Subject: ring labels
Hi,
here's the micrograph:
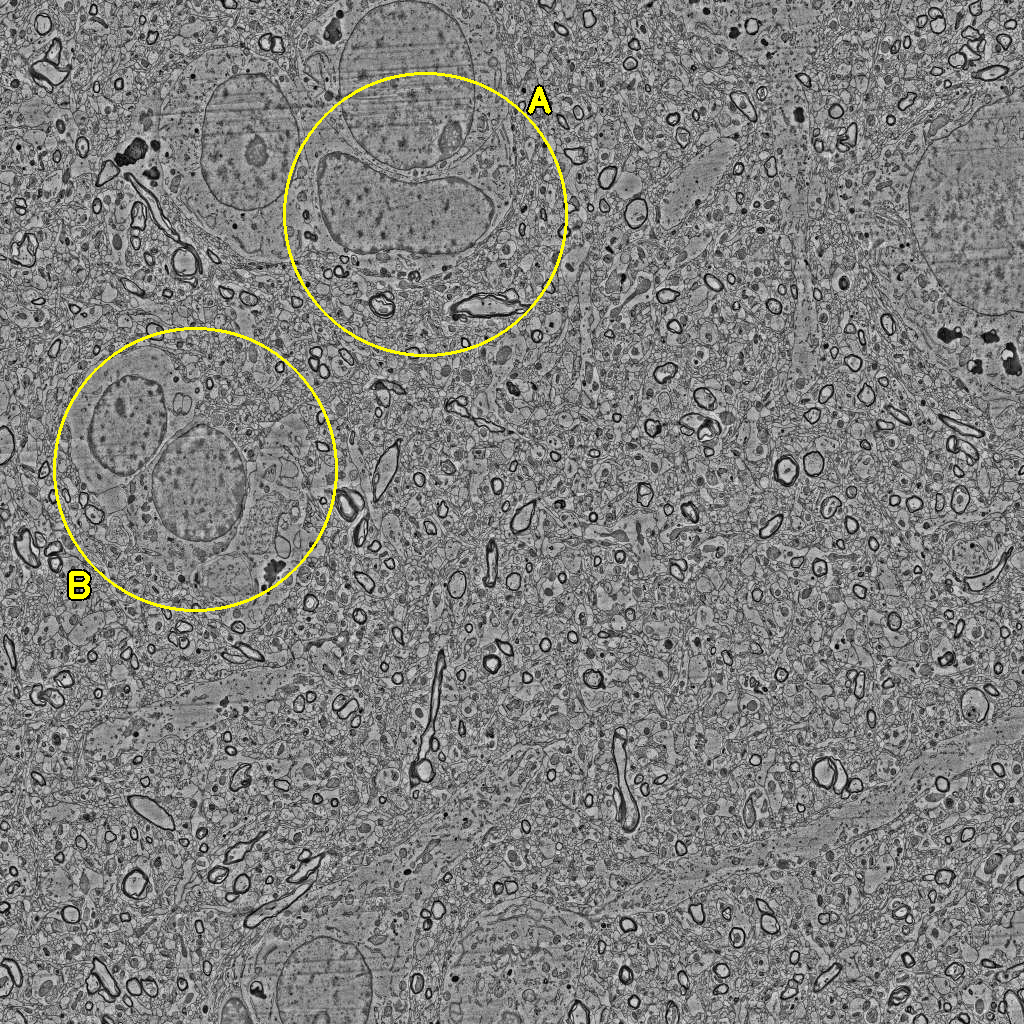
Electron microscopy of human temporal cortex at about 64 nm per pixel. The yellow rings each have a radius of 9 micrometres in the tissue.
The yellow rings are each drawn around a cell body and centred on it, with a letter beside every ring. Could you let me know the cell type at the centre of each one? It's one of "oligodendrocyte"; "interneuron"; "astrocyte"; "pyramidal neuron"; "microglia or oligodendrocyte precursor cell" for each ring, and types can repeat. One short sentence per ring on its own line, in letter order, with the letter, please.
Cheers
The type at the centre of ring A is a microglial cell or oligodendrocyte precursor cell.
The type at the centre of ring B is an oligodendrocyte.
